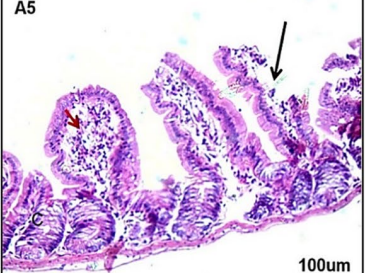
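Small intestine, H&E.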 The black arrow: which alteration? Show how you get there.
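Sloughing and shortening of the villi. Villi are short and stubby. The surface epithelium at the villus tip is ragged and detaching.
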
